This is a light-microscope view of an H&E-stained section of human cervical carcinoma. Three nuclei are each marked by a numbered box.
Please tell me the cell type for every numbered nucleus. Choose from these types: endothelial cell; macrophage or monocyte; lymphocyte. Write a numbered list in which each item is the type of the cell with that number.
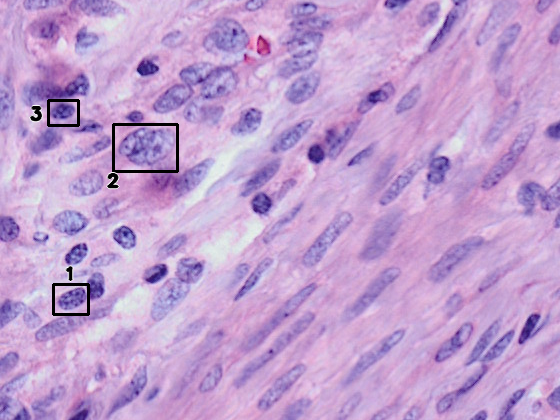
1. lymphocyte
2. endothelial cell
3. lymphocyte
